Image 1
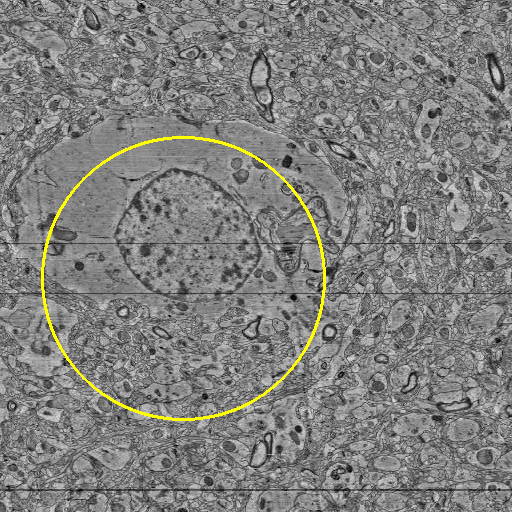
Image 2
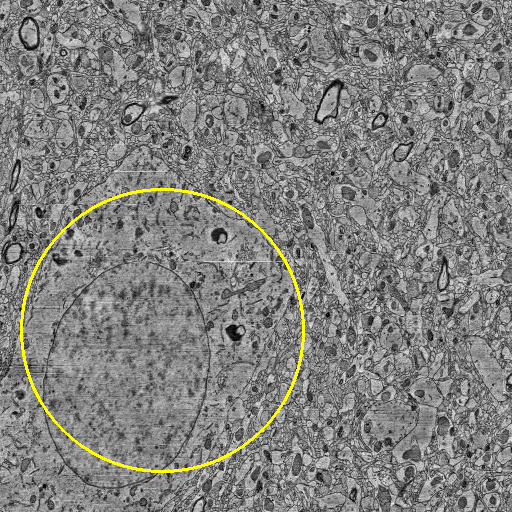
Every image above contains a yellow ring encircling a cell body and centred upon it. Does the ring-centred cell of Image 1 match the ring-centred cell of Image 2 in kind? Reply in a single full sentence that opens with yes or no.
No, the cell at the ring's centre in Image 1 is a separate kind from that in Image 2.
